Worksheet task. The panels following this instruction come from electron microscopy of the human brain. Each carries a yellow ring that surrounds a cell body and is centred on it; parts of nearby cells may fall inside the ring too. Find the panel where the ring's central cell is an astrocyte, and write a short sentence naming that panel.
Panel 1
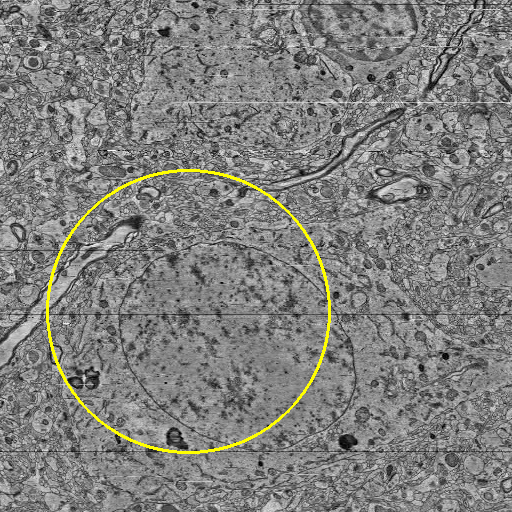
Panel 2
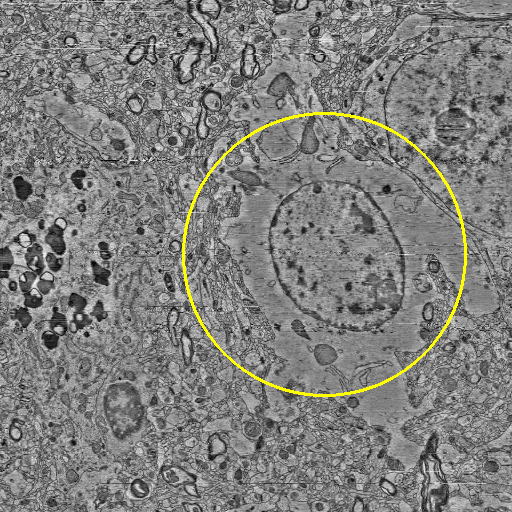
The cell sought is in Panel 2.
